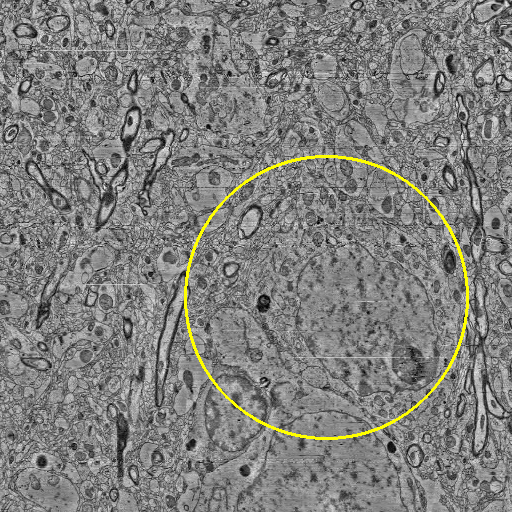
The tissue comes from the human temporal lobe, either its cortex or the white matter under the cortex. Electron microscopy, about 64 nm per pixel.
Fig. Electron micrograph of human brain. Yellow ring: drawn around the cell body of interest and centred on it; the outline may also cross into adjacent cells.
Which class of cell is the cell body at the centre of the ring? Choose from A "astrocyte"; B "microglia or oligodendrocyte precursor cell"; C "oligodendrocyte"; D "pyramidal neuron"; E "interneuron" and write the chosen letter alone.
E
